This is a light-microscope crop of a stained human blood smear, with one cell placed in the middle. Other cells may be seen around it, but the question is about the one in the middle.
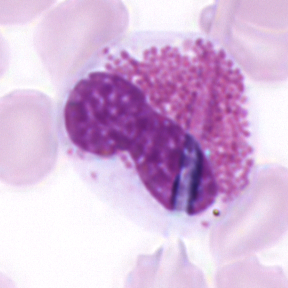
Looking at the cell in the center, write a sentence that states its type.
The cell that lies at the centre of the crop is an eosinophil.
